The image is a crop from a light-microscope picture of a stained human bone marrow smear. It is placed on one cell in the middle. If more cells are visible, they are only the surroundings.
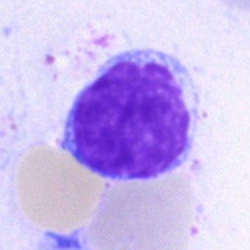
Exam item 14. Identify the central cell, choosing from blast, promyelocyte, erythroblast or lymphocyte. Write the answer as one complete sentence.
For this crop, the central cell is a lymphocyte.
